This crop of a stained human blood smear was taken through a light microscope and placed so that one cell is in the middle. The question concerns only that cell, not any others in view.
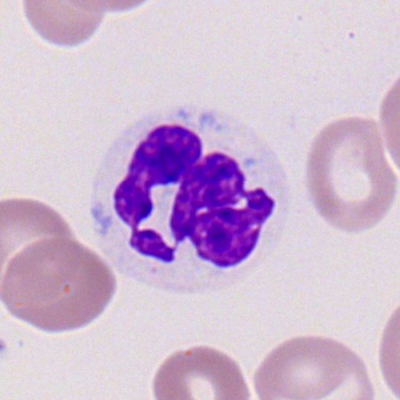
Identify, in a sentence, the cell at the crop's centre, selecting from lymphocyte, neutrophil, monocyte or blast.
The cell positioned in the middle of the field is a neutrophil.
